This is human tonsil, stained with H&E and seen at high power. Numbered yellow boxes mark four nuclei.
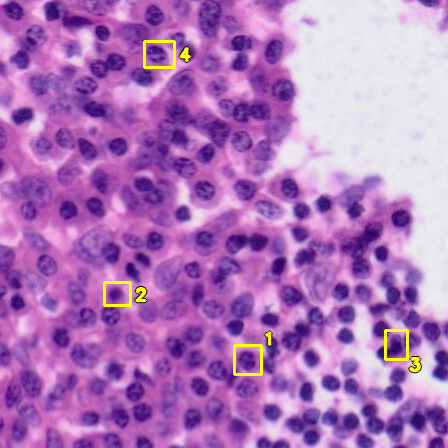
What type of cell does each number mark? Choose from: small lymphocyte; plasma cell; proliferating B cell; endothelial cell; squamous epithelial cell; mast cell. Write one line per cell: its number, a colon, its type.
1: plasma cell
2: plasma cell
3: small lymphocyte
4: plasma cell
